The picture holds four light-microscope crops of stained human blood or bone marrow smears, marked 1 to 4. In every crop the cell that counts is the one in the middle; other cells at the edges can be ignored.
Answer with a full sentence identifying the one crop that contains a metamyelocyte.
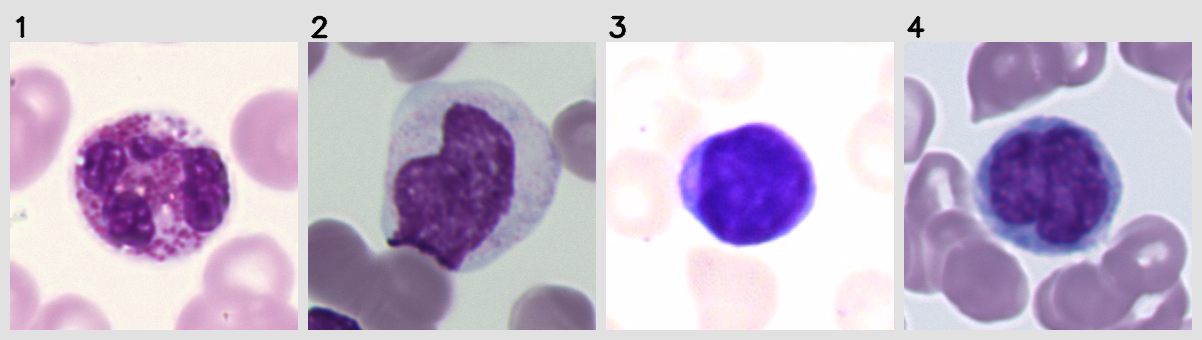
In this set, crop 2 is the one showing a metamyelocyte.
